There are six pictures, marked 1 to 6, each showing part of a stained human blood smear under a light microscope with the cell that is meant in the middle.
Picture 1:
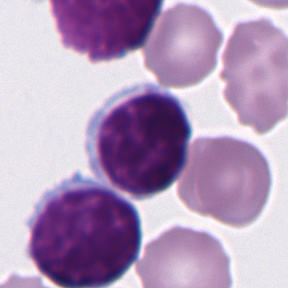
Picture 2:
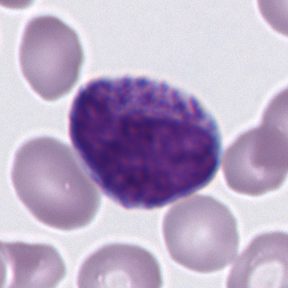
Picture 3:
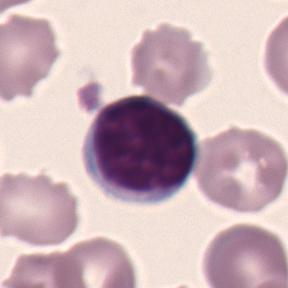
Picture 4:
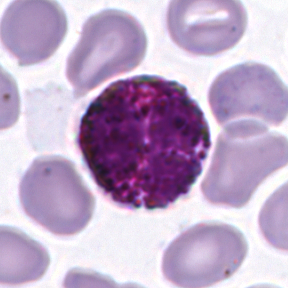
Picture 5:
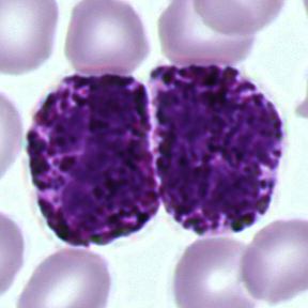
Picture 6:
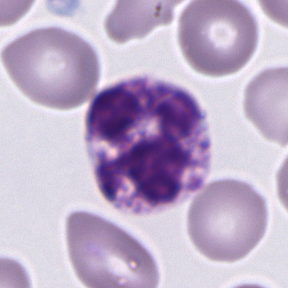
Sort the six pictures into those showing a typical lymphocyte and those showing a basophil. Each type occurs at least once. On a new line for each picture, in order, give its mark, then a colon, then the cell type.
1: typical lymphocyte
2: basophil
3: typical lymphocyte
4: basophil
5: basophil
6: basophil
